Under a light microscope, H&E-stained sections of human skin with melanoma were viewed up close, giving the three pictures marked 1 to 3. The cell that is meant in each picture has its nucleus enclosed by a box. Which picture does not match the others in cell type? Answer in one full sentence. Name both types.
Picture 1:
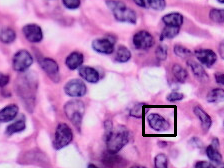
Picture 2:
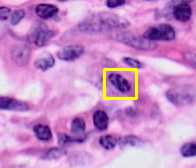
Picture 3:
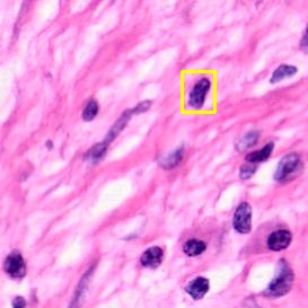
The different one is picture 2; it shows a plasma cell, whereas all the others show lymphocytes.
